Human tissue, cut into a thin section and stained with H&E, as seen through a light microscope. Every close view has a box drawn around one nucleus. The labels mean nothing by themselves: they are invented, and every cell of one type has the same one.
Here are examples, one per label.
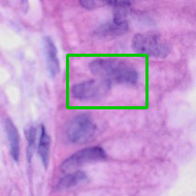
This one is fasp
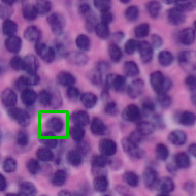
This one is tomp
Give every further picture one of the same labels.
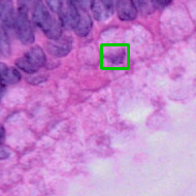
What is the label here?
fasp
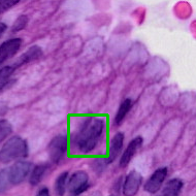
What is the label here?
fasp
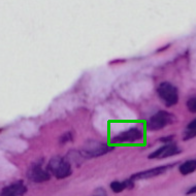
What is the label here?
fasp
